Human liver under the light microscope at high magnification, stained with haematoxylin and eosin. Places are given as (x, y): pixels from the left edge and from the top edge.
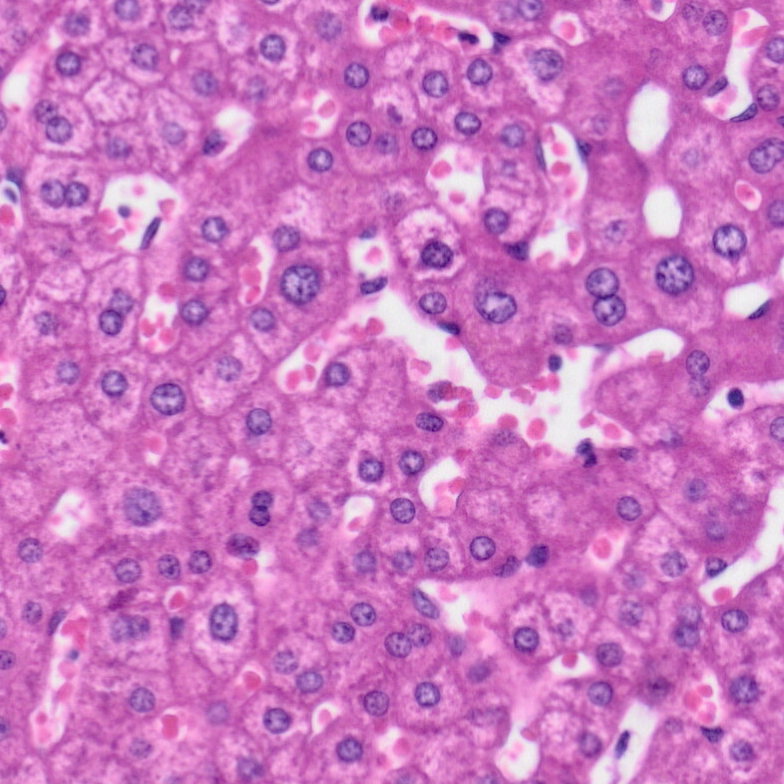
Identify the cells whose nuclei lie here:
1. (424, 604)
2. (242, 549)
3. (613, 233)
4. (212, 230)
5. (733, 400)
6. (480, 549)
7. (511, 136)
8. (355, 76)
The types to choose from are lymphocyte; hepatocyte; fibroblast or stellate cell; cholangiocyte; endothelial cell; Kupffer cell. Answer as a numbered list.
1. Kupffer cell
2. endothelial cell
3. hepatocyte
4. hepatocyte
5. lymphocyte
6. hepatocyte
7. hepatocyte
8. hepatocyte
